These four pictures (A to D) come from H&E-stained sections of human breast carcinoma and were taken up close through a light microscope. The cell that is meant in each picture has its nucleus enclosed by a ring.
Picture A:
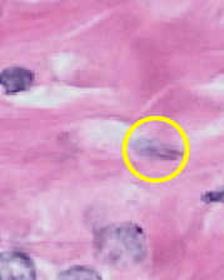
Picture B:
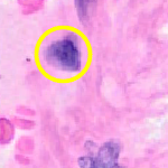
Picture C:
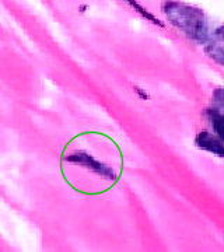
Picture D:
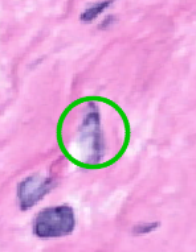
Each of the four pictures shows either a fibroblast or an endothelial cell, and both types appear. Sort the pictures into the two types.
A: fibroblast
B: endothelial cell
C: fibroblast
D: endothelial cell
